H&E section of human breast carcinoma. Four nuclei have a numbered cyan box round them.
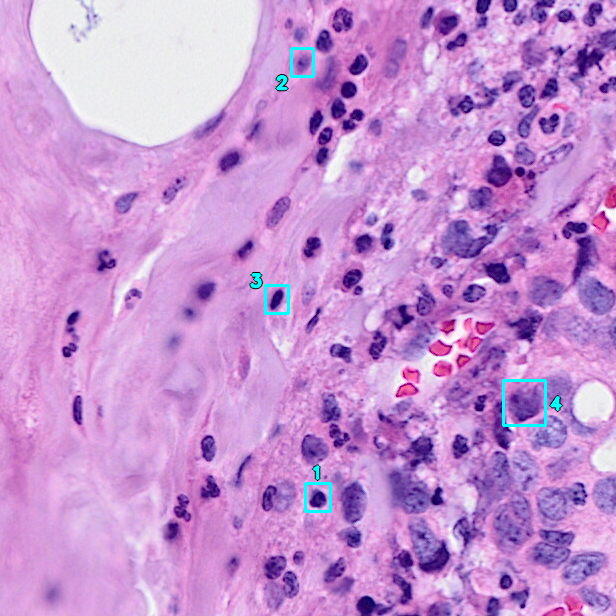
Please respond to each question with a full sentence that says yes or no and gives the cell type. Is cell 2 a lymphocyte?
No, number 2 is not a lymphocyte; it is a mast cell.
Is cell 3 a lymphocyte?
Yes, the cell that number 3 points to is a lymphocyte.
